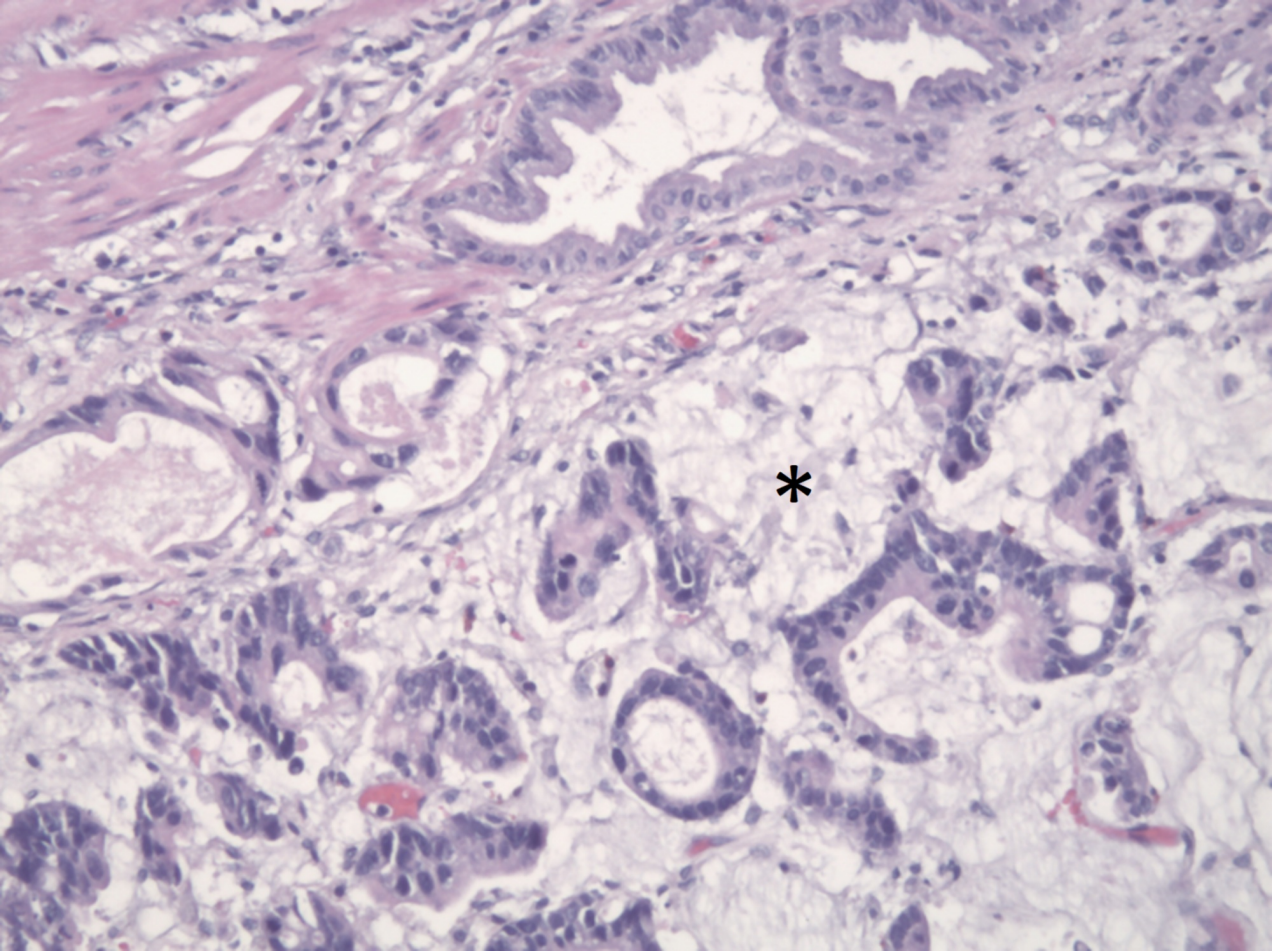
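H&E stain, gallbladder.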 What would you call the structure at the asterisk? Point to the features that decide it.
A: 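The asterisk lies in a pale, wispy, faintly bluish-grey acellular material. Clusters of epithelial cells and glands float within this pale material.
Answer: pools of extracellular mucin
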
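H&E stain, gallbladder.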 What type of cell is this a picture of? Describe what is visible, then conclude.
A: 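Irregular glands and cell clusters lined by crowded cells with enlarged dark nuclei. Nuclei are stratified and pleomorphic. Glands lie in a fibrous and mucoid stroma.
Conclusion: malignant epithelial cells and glands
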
